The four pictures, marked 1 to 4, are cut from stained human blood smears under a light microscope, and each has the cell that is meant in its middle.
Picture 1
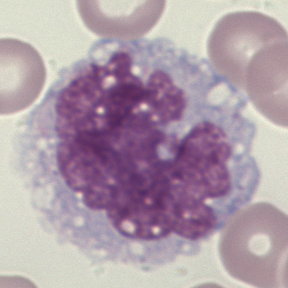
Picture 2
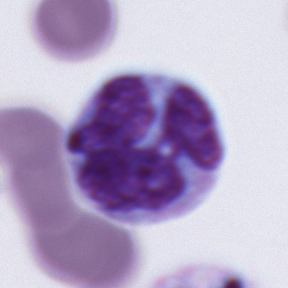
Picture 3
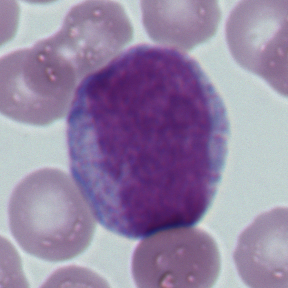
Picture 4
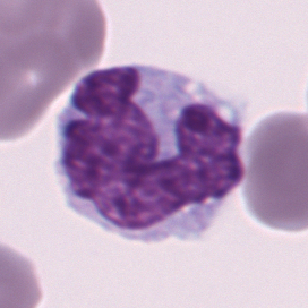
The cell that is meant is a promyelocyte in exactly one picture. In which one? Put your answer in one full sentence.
Picture 3 shows the promyelocyte.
